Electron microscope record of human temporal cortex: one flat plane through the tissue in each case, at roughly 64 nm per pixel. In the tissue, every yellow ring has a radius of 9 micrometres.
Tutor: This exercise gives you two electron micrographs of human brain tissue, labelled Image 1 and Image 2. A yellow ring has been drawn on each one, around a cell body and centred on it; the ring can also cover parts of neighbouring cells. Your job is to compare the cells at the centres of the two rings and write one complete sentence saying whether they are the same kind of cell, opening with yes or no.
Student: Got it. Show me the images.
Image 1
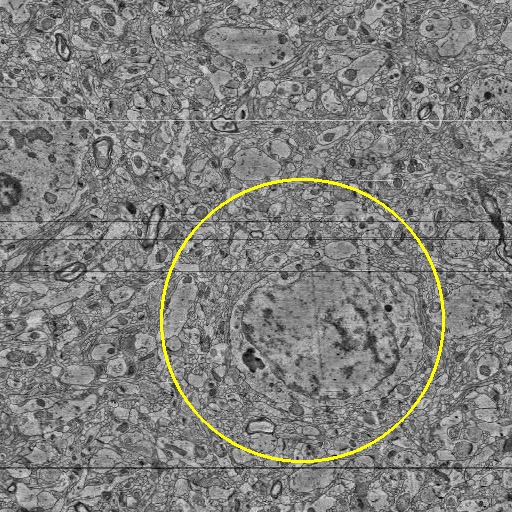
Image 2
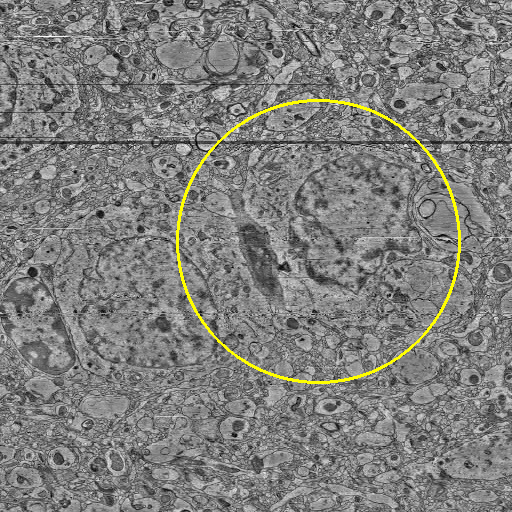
Yes, the two cells belong to the same kind.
